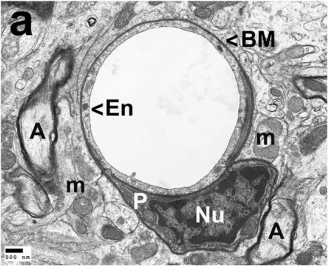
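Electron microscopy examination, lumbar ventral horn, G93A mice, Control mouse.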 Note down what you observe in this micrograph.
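This electron micrograph shows a capillary of the spinal cord in cross-section with a round, empty lumen. A thin, continuous layer of endothelial cells lines the lumen, and a thin basement membrane surrounds it. A pericyte with a dark, irregular nucleus is wrapped against the lower outer wall of the vessel. The surrounding neuropil is compact, with well-preserved mitochondria and myelinated axons seen as dark rings. No pale swollen spaces are seen around the vessel.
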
